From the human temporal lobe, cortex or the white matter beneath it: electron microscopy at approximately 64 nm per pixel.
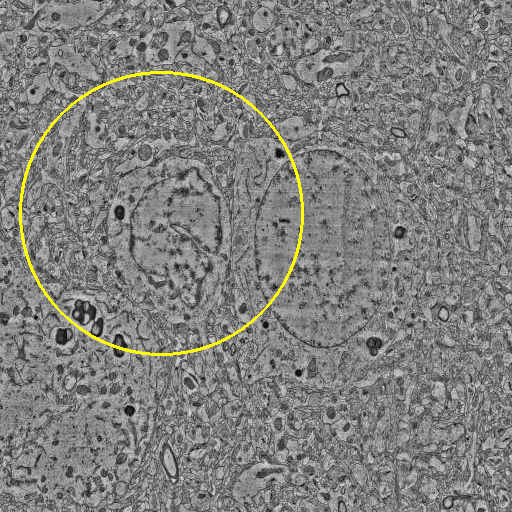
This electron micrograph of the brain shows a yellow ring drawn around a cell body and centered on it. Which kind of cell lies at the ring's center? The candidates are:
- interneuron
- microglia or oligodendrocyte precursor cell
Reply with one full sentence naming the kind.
The cell lying at the ring's center in this micrograph is an interneuron.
